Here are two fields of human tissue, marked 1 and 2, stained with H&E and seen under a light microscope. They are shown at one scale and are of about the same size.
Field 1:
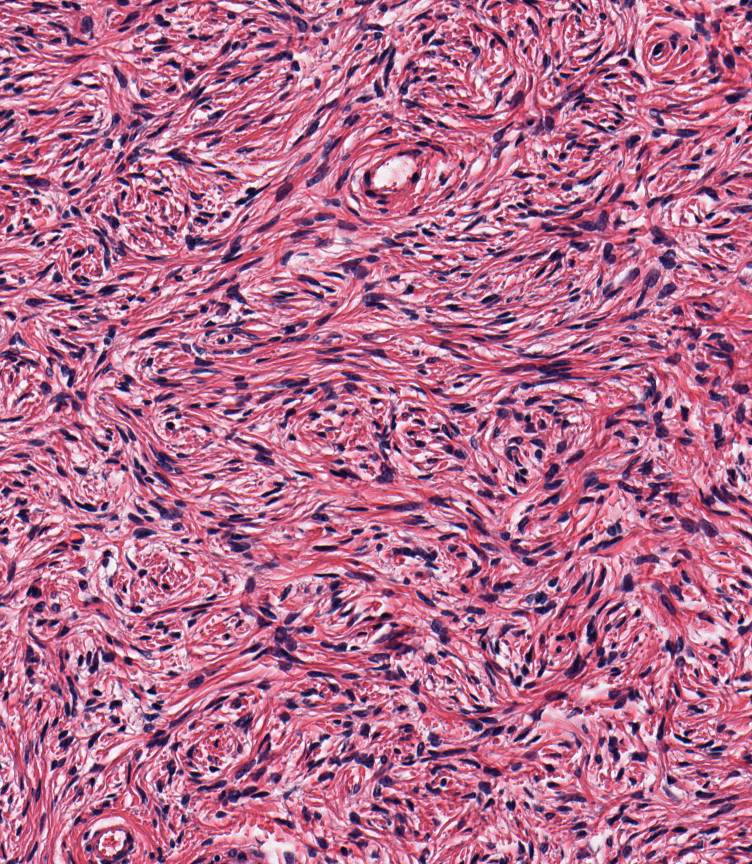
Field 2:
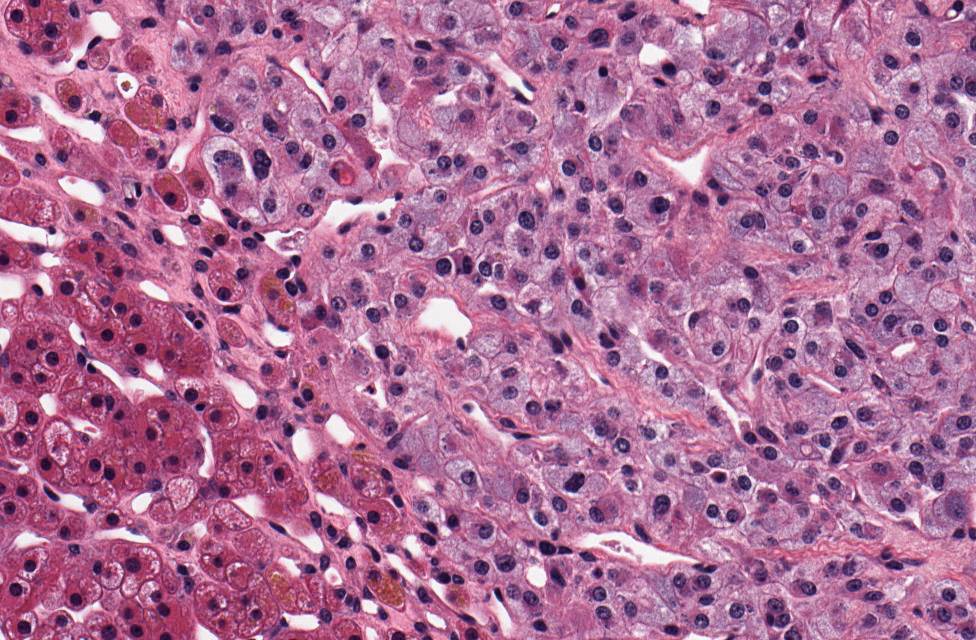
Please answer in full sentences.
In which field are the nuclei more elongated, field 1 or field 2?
On the whole the nuclei of field 1 are more drawn out than those of field 2.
